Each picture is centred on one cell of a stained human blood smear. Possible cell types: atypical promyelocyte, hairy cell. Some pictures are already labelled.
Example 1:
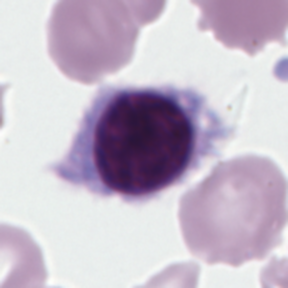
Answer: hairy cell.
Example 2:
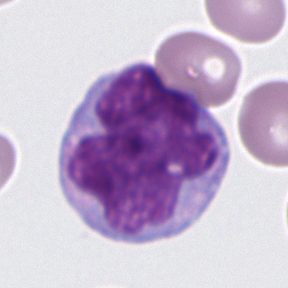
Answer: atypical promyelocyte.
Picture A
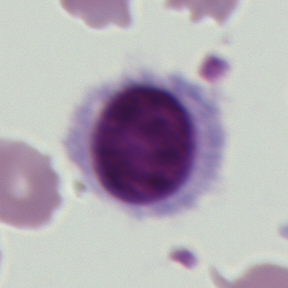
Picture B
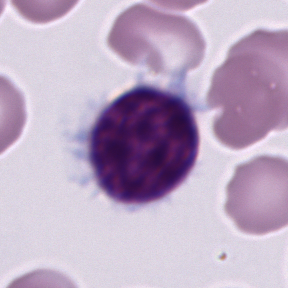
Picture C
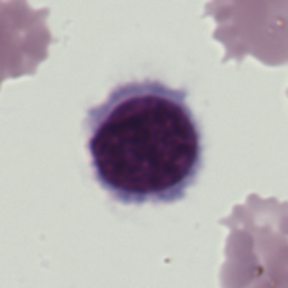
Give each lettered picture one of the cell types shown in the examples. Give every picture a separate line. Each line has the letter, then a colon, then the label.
A: hairy cell.
B: hairy cell.
C: hairy cell.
